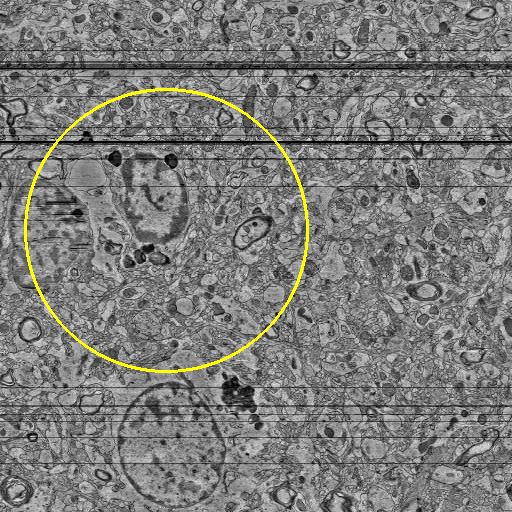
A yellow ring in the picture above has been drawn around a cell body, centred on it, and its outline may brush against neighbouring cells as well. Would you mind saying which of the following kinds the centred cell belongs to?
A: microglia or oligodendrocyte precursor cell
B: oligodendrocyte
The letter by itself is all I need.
A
